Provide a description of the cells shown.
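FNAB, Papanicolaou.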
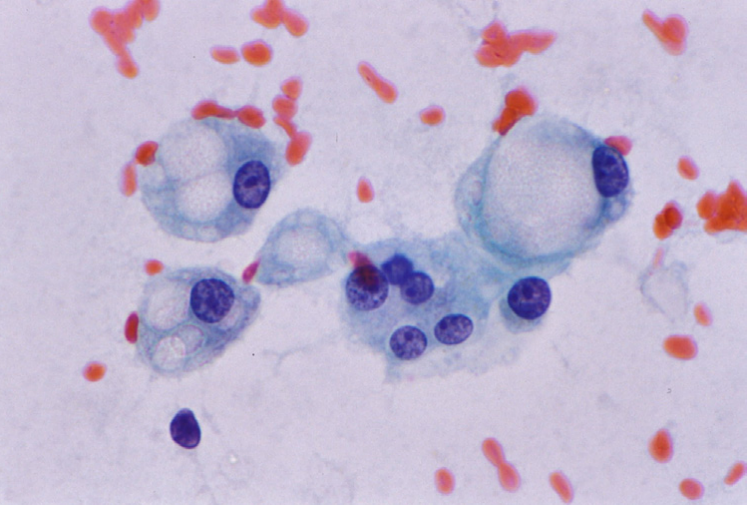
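The cells vary in size and shape and have blue-green cytoplasm holding clear round vacuoles of varying size. In the cells with the largest vacuoles, the dark round nucleus is pushed to one side, giving a signet-ring-like look.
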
